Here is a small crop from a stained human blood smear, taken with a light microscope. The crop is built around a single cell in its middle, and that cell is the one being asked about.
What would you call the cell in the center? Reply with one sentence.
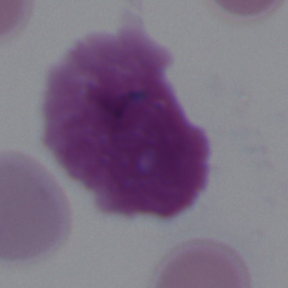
This crop has a smudge cell at its centre.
